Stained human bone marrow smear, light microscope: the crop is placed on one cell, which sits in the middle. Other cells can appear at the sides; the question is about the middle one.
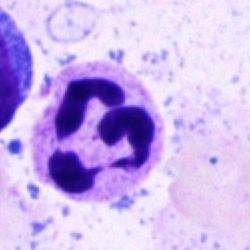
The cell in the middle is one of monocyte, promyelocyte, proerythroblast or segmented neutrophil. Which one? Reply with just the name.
segmented neutrophil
